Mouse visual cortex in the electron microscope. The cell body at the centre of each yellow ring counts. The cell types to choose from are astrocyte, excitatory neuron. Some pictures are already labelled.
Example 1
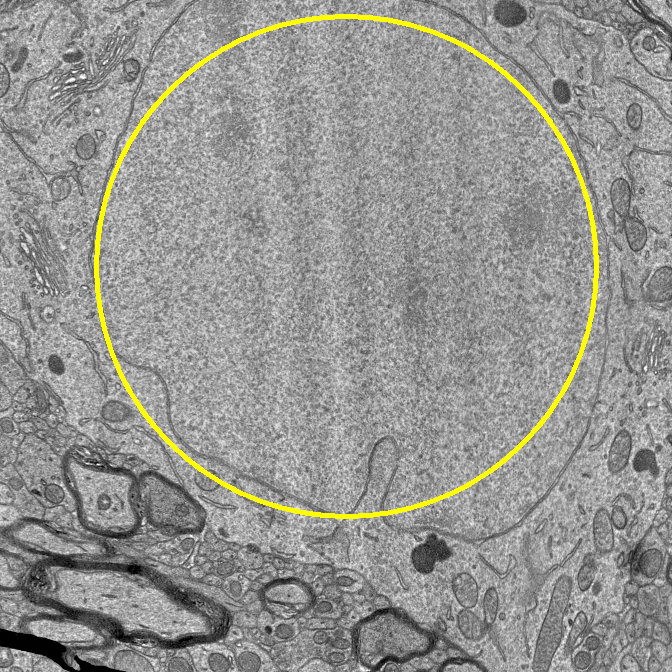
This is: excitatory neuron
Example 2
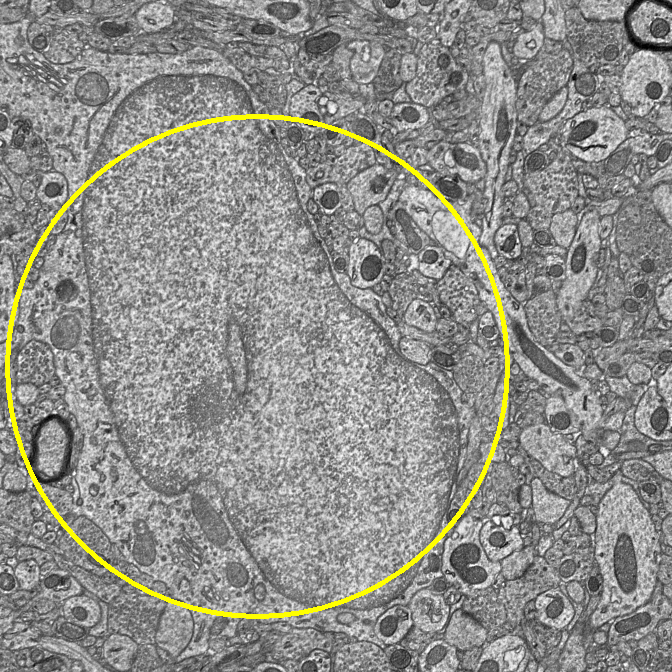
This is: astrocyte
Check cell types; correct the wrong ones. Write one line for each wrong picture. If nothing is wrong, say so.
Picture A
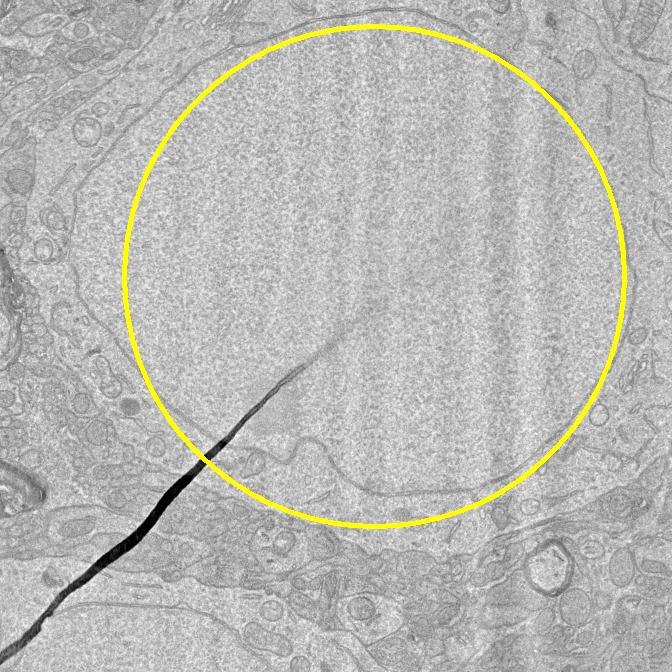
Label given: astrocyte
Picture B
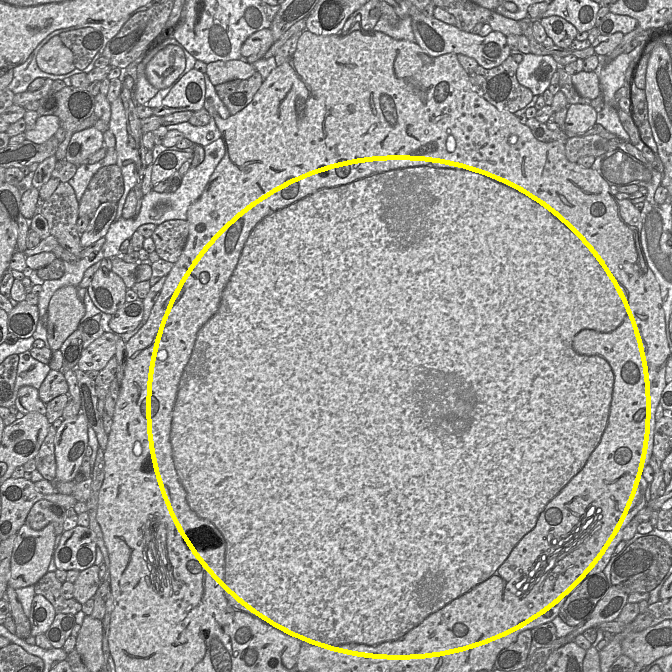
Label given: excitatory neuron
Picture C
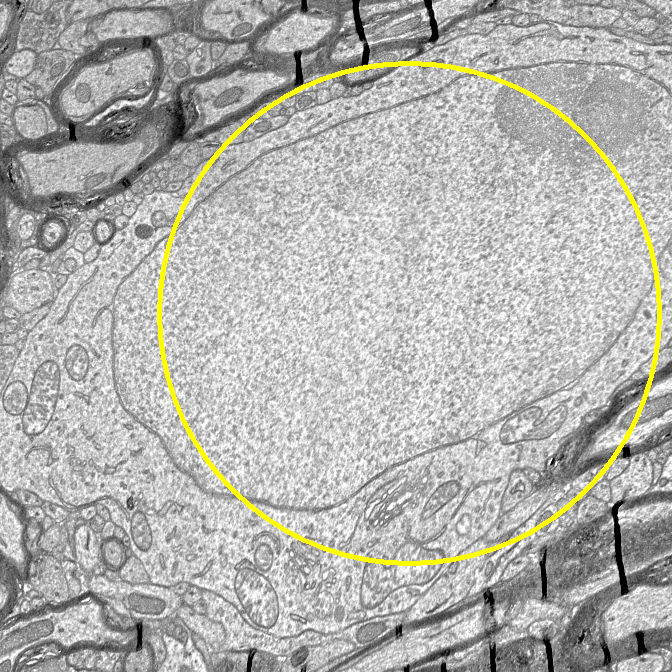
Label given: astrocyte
Wrong: A (astrocyte); correct: excitatory neuron
Wrong: C (astrocyte); correct: excitatory neuron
